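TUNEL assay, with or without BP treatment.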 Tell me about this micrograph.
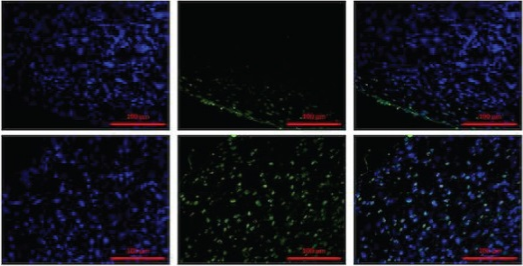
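In the middle and right fields of the lower row, many small bright green dots lie scattered among the blue nuclei across the whole field. In the upper row, the green is sparse and mostly gathered along a thin band near the lower edge. At this magnification the single nuclei can be told apart as dots, but their inner structure cannot.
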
